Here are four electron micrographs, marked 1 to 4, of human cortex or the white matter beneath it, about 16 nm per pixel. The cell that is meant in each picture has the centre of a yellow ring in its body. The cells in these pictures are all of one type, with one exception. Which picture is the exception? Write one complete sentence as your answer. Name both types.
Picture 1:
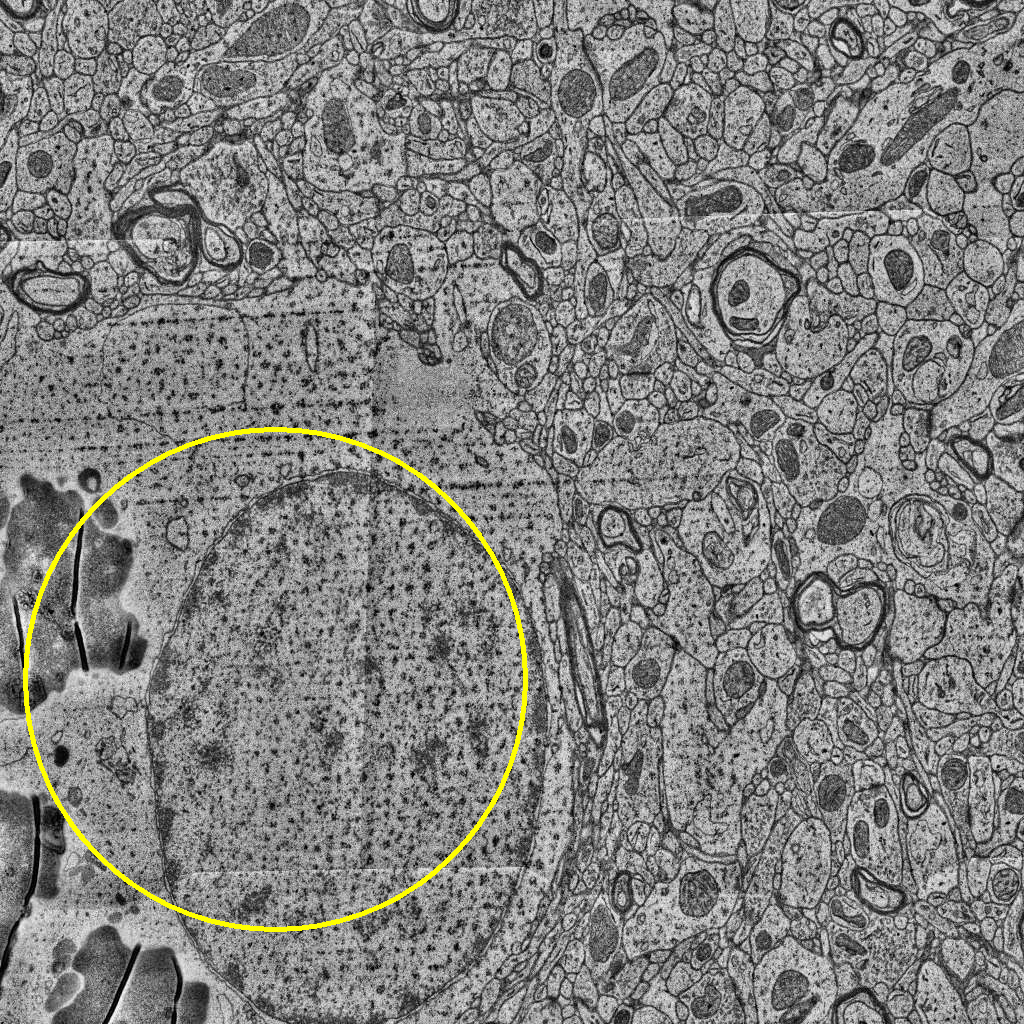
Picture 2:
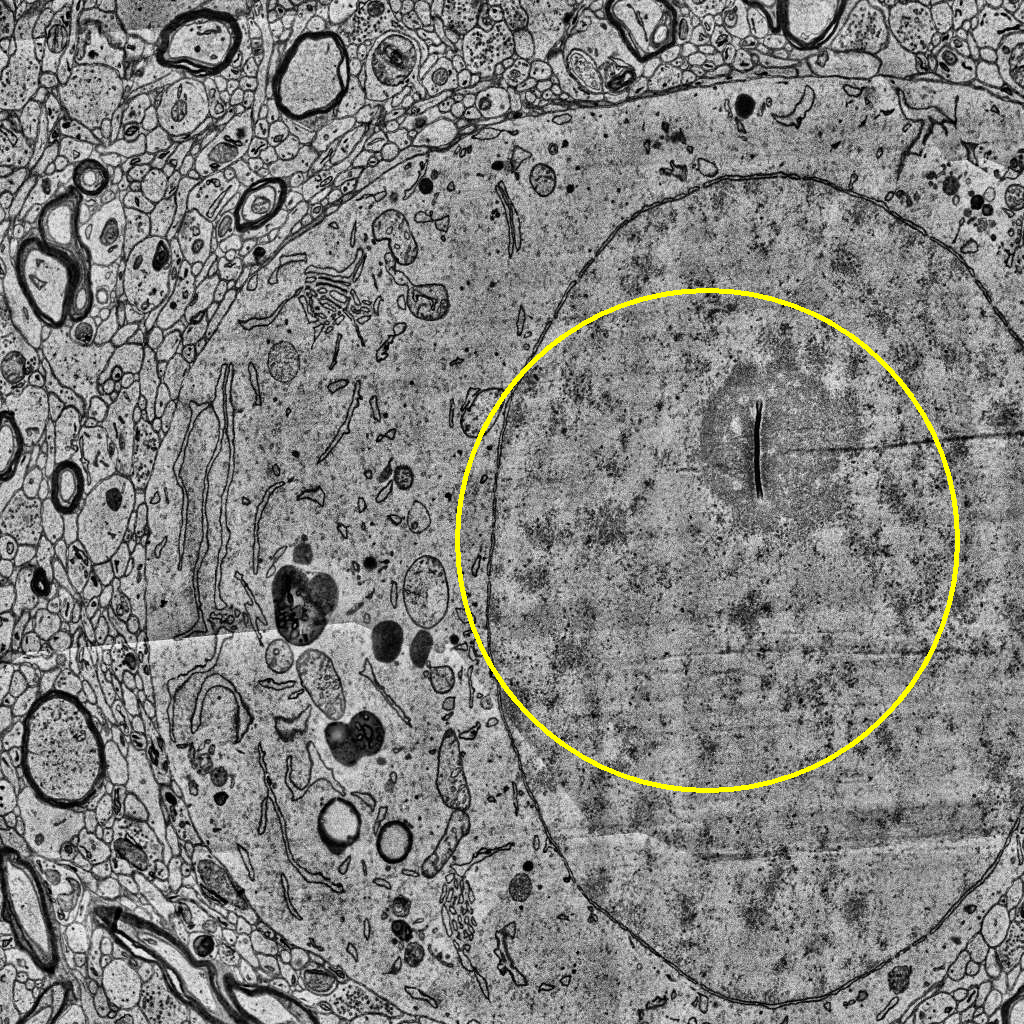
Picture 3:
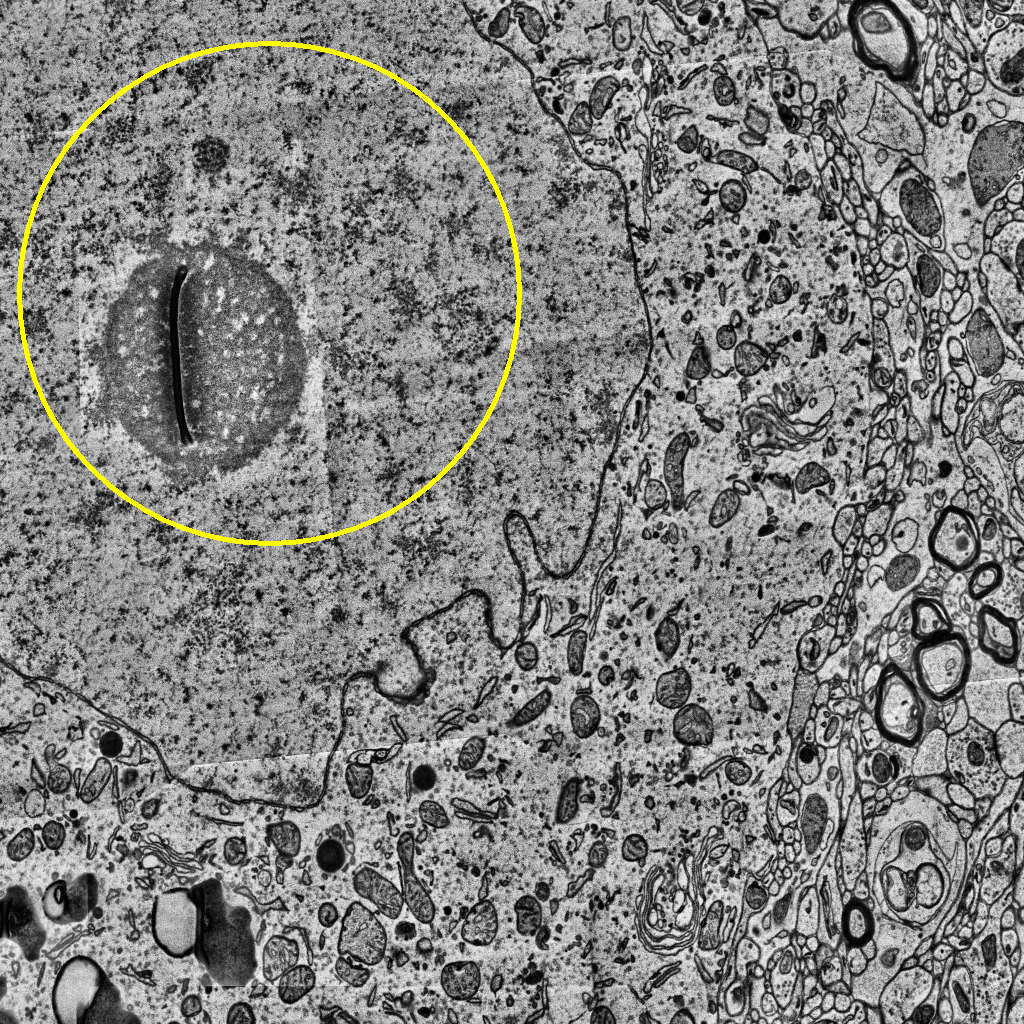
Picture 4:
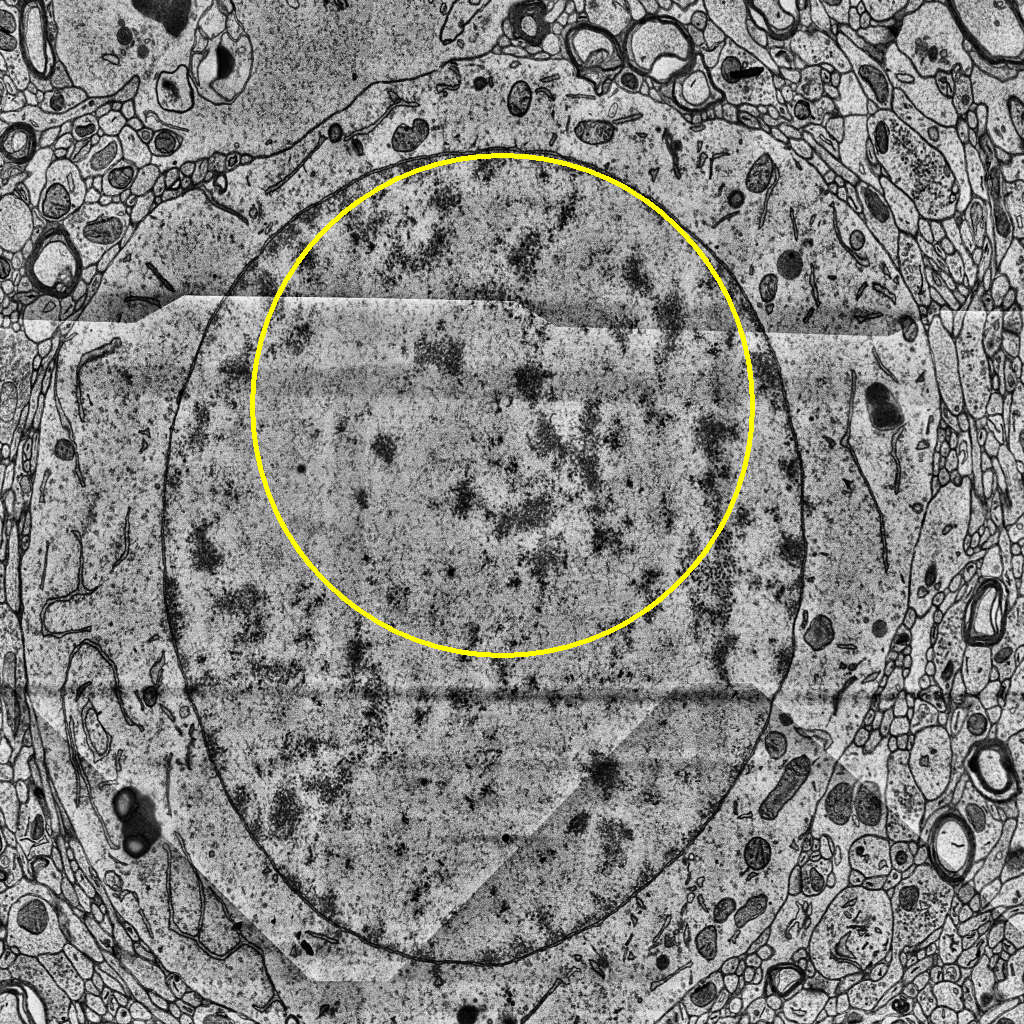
Picture 1 differs, because its cell is an astrocyte and the rest are pyramidal neurons.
